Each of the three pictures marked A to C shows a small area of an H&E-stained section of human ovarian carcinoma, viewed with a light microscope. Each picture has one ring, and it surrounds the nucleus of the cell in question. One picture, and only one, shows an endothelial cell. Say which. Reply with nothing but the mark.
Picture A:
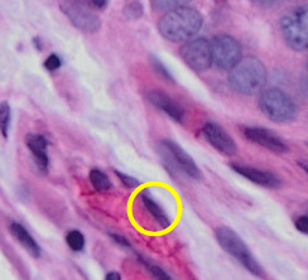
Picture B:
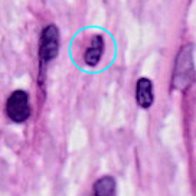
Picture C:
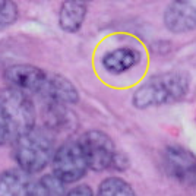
A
